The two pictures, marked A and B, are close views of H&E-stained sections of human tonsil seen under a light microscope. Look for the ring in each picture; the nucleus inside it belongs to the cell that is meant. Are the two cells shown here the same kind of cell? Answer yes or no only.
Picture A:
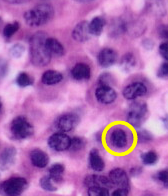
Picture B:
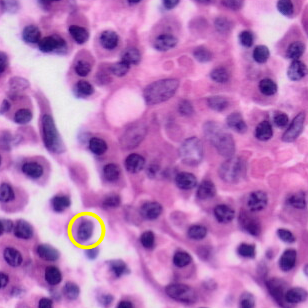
yes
